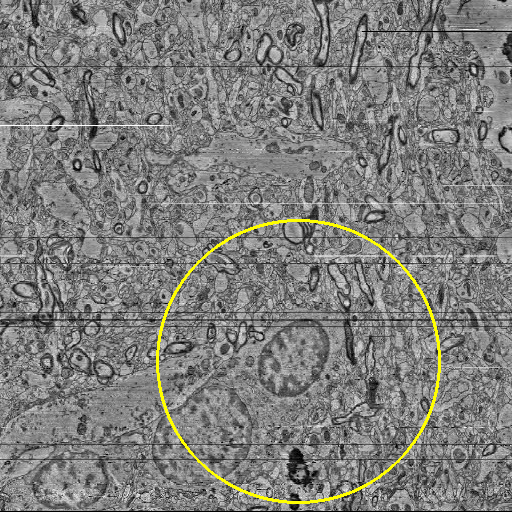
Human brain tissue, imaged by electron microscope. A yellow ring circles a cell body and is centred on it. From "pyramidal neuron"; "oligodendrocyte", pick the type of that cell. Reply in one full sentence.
The cell body at the centre of the yellow ring belongs to an oligodendrocyte.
